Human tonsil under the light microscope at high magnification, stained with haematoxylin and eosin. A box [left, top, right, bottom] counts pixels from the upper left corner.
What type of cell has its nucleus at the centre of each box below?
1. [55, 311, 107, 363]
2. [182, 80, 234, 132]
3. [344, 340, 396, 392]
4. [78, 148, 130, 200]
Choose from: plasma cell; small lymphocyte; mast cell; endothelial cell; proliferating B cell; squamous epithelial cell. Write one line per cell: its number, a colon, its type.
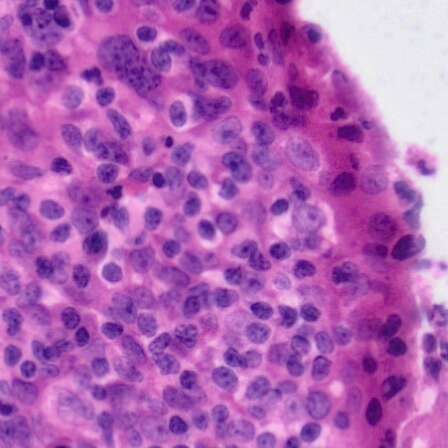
1: plasma cell
2: squamous epithelial cell
3: squamous epithelial cell
4: squamous epithelial cell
